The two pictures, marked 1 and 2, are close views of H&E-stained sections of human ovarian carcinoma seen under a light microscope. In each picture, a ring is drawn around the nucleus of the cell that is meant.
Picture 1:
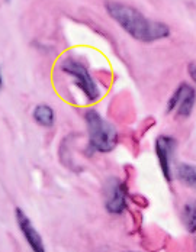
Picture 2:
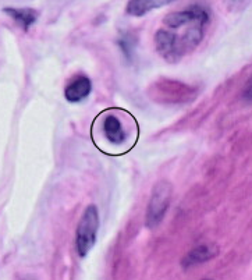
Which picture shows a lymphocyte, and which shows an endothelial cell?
1: endothelial cell
2: lymphocyte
